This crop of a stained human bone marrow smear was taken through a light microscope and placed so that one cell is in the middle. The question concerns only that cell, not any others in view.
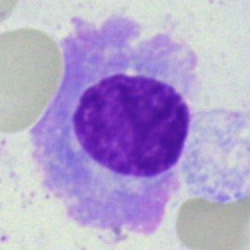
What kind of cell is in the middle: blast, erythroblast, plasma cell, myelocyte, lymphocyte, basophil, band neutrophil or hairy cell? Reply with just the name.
plasma cell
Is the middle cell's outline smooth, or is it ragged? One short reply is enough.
The cell outline lacks smoothness, being ragged or extended into projections.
